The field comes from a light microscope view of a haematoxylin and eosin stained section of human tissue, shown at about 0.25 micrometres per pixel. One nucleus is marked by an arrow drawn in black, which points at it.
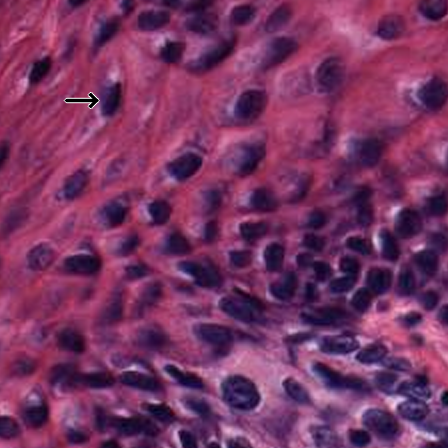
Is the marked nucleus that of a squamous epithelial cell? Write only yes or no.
yes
